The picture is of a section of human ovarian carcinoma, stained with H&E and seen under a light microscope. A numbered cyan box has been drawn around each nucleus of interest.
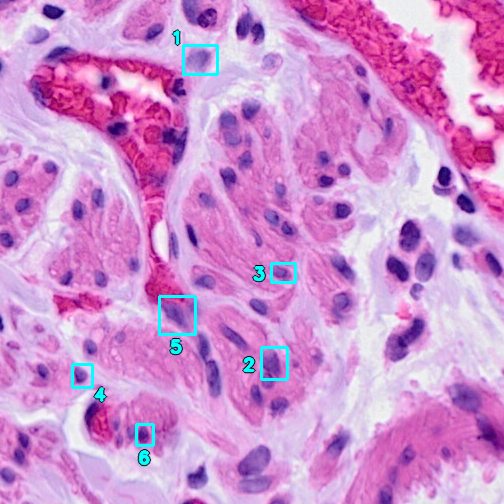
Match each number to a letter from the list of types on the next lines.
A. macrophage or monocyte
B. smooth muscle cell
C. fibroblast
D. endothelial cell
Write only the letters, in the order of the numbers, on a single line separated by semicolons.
C; B; B; B; D; B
